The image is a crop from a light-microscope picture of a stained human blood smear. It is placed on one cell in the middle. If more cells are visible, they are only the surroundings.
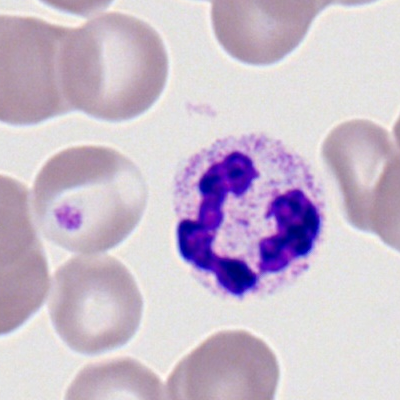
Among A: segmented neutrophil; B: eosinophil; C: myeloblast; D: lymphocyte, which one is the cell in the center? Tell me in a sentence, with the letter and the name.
Since the middle cell is a segmented neutrophil, option A is the right one.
